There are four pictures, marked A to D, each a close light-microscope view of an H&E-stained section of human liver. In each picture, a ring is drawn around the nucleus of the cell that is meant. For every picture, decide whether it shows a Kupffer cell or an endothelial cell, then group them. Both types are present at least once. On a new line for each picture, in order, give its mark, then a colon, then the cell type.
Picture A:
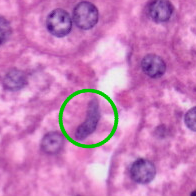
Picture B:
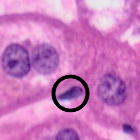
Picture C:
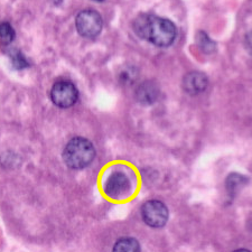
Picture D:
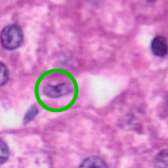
A: Kupffer cell
B: endothelial cell
C: Kupffer cell
D: Kupffer cell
